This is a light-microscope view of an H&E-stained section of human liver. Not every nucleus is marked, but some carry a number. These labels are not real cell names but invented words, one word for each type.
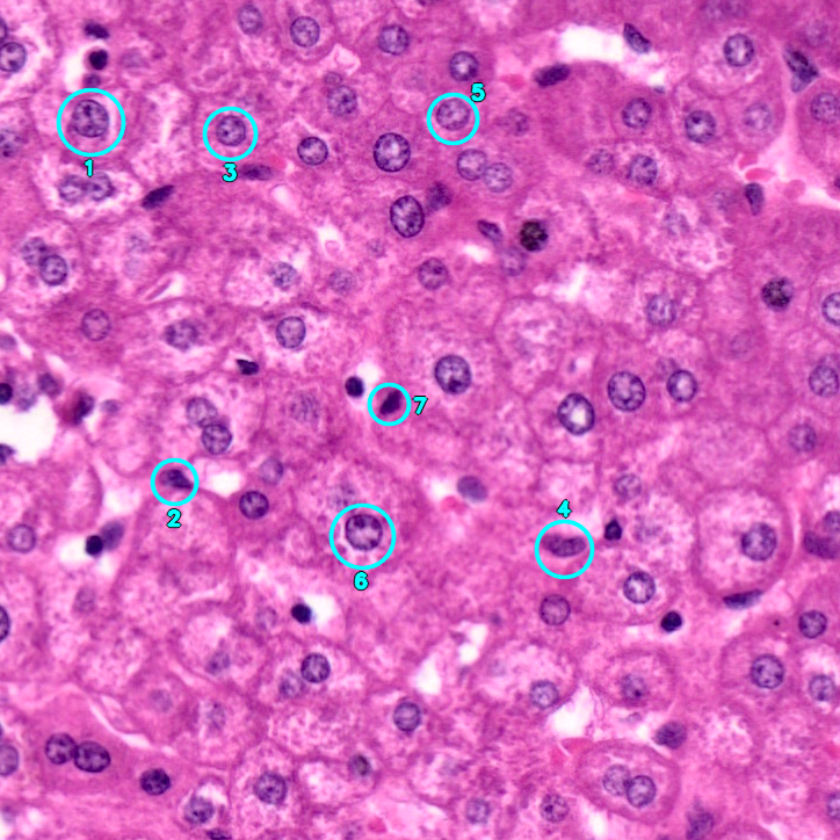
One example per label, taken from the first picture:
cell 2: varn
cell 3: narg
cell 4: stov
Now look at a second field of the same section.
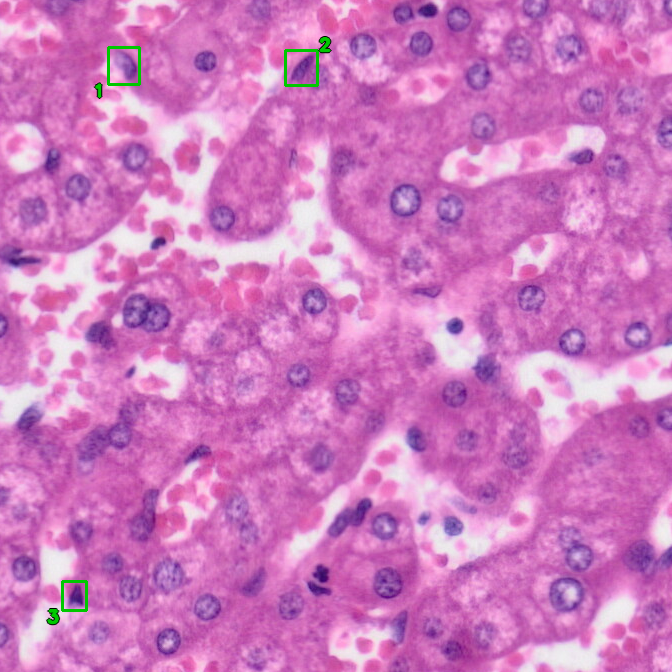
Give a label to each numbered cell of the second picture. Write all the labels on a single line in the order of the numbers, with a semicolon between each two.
stov; varn; varn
